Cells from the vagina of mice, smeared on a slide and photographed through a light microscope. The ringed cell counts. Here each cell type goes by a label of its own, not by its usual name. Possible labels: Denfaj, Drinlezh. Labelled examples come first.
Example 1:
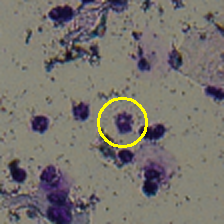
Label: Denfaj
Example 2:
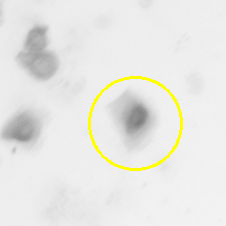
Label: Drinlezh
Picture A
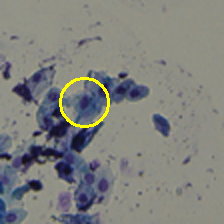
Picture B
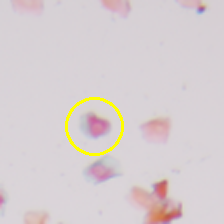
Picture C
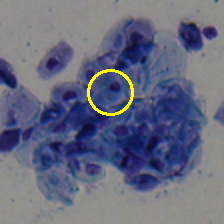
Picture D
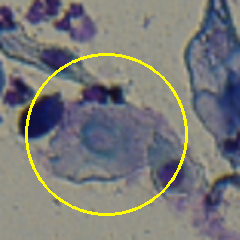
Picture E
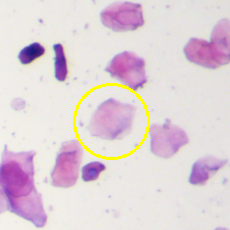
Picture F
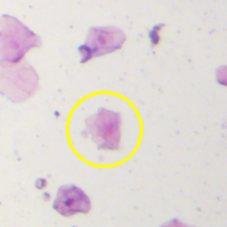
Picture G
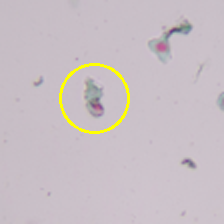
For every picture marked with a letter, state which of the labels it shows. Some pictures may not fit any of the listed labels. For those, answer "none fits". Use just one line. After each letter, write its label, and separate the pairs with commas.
A Drinlezh, B Drinlezh, C Drinlezh, D Drinlezh, E none fits, F none fits, G Drinlezh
